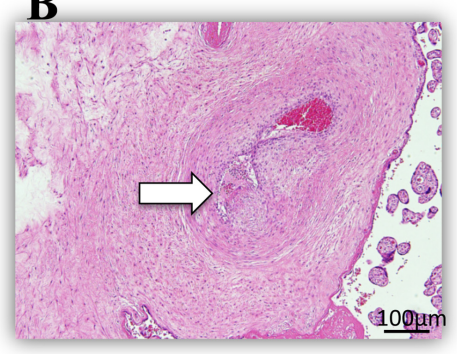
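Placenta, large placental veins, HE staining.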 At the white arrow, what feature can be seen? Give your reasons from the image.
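Endothelial cushion. A thick-walled large vessel with a narrow lumen containing red blood cells. At the arrow a cellular bulge of the inner wall protrudes toward the lumen.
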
